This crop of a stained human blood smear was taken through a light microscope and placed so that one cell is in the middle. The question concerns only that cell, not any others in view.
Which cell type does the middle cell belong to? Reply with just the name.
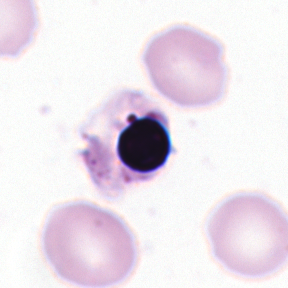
erythroblast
